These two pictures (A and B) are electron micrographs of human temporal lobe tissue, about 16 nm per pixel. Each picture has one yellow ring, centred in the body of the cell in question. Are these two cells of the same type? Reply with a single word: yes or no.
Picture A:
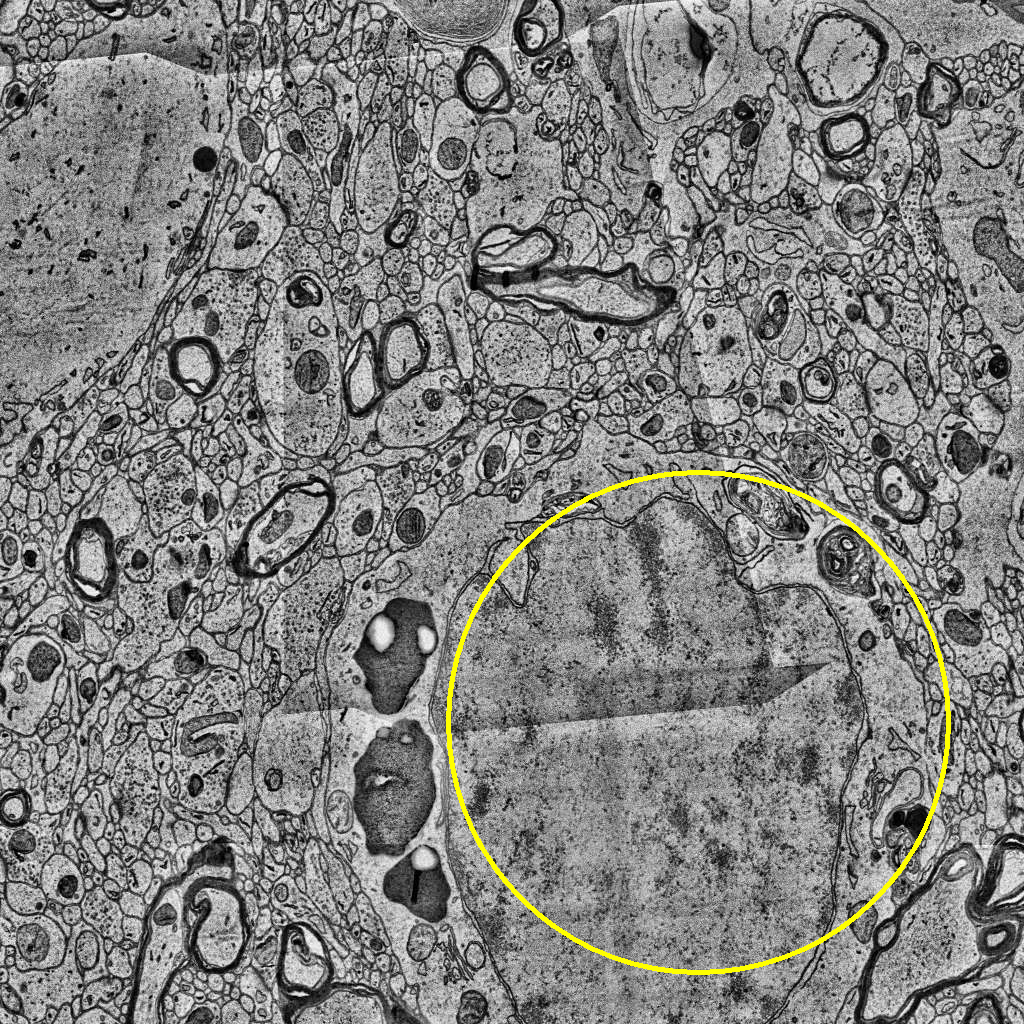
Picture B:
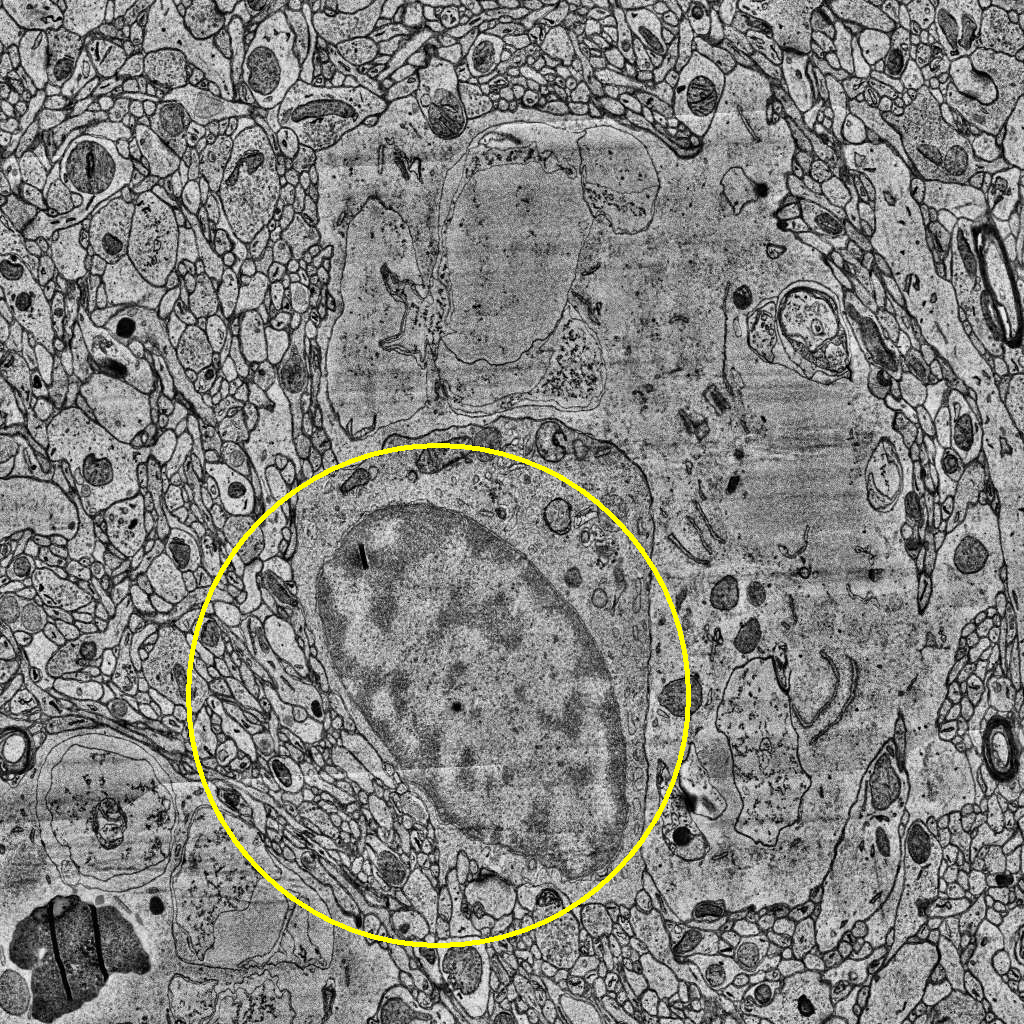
no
